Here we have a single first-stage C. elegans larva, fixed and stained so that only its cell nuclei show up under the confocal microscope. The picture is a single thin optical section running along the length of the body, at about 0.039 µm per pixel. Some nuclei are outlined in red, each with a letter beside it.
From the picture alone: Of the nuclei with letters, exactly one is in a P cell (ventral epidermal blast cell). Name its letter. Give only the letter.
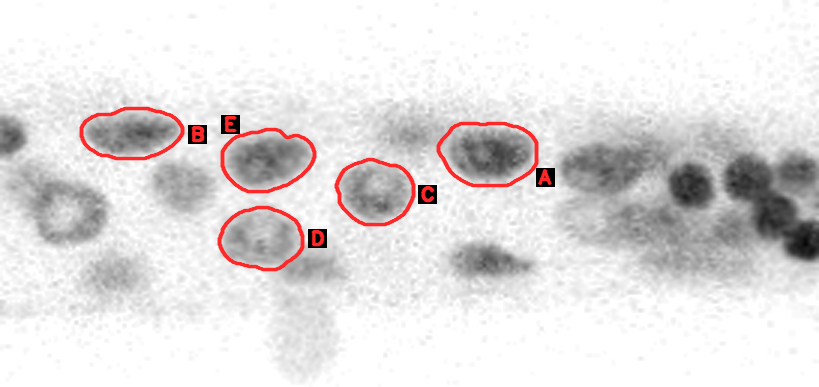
E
